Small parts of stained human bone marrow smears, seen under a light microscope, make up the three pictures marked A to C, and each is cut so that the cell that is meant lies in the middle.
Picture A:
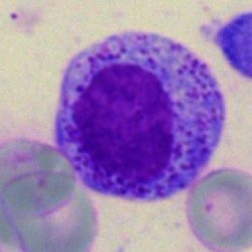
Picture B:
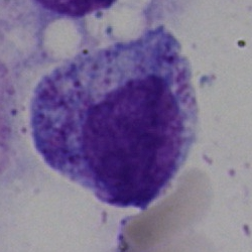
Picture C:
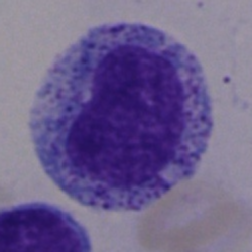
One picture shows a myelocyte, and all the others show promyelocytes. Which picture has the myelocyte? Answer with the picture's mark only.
A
